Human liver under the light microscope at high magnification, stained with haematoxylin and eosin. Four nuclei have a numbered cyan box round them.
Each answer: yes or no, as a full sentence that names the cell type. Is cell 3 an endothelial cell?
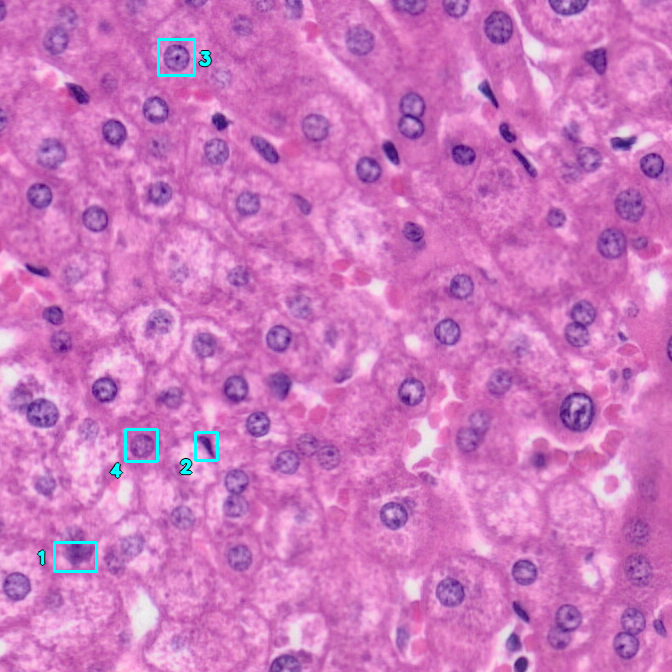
No, a hepatocyte is what cell 3 is, not an endothelial cell.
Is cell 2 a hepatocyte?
No, as for cell 2, it is a fibroblast or stellate cell and not a hepatocyte.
